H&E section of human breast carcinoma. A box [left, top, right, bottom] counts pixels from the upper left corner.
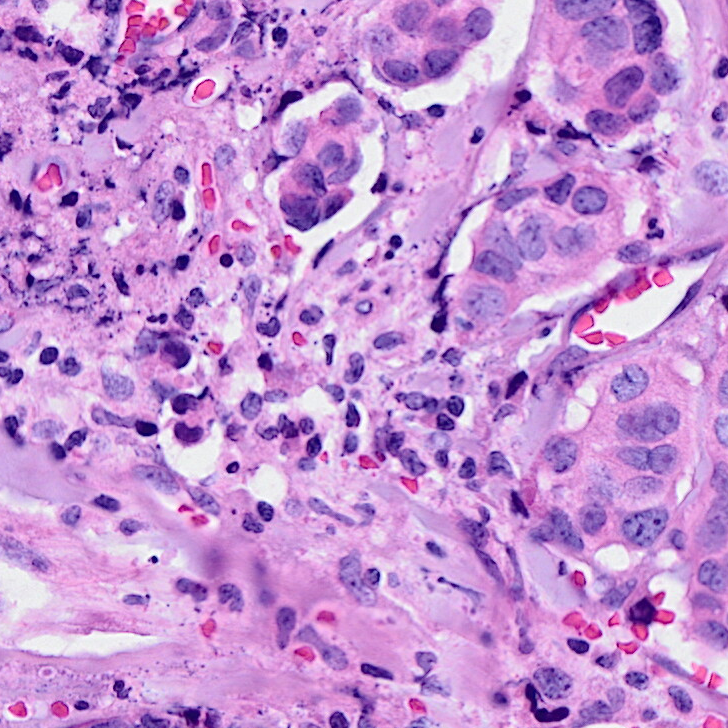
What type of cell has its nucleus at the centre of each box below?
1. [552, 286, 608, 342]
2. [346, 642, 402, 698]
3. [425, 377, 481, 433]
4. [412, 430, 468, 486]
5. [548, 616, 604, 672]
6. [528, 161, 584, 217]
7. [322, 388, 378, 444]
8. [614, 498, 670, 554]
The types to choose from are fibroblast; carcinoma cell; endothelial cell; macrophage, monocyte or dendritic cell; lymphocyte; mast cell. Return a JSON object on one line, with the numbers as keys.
{"1": "endothelial cell", "2": "lymphocyte", "3": "lymphocyte", "4": "lymphocyte", "5": "lymphocyte", "6": "carcinoma cell", "7": "lymphocyte", "8": "carcinoma cell"}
